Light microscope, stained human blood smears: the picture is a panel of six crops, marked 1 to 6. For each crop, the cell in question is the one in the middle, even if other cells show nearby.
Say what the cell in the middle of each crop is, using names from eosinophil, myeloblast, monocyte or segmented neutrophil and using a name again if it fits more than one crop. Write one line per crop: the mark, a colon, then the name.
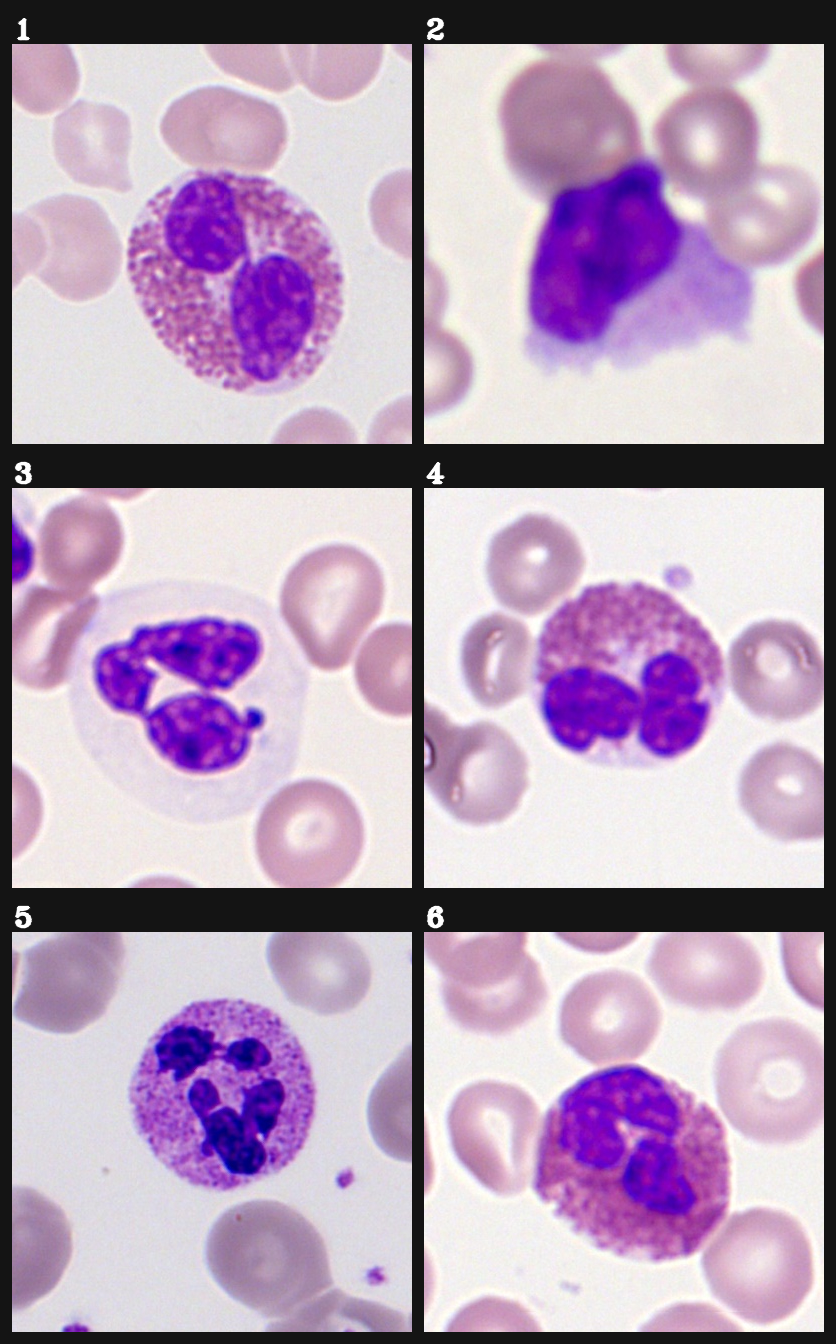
1: eosinophil
2: monocyte
3: segmented neutrophil
4: eosinophil
5: segmented neutrophil
6: eosinophil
